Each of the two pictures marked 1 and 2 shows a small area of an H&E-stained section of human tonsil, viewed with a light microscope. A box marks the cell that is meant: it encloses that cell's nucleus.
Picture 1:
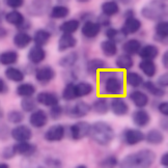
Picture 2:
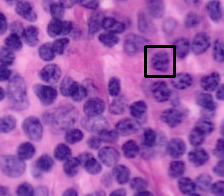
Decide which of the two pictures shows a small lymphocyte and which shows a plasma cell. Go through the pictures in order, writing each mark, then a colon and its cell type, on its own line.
1: small lymphocyte
2: plasma cell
